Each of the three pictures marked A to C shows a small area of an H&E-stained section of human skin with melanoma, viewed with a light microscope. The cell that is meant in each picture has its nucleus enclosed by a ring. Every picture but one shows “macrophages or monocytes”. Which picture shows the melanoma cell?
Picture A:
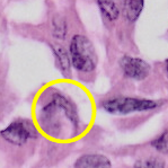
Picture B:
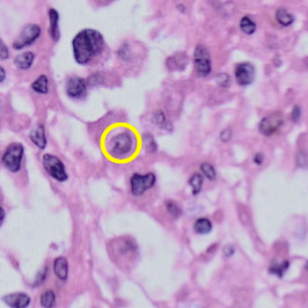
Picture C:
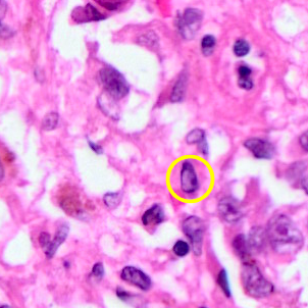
A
